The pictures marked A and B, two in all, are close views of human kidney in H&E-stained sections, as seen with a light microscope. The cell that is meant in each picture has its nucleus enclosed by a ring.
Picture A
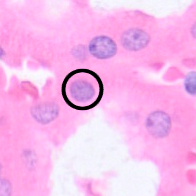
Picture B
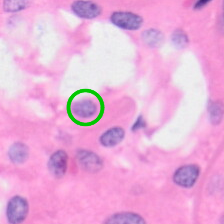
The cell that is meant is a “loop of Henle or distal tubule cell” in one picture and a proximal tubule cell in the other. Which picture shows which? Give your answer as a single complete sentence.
Picture A shows a proximal tubule cell and picture B shows a “loop of Henle or distal tubule cell”.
